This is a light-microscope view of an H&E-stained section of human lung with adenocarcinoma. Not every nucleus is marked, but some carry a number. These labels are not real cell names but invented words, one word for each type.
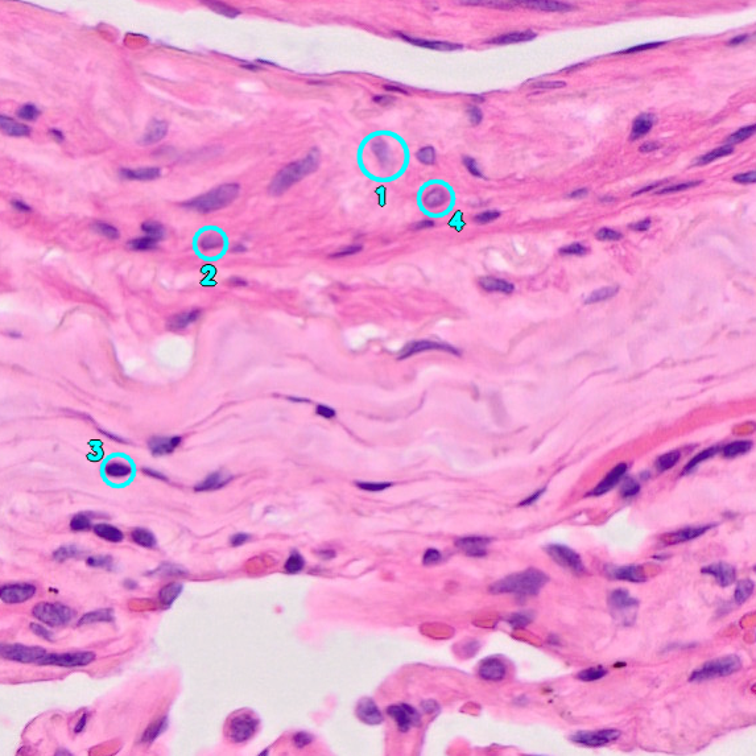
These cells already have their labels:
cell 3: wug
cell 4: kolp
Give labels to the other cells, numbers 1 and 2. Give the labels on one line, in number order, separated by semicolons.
kolp; kolp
